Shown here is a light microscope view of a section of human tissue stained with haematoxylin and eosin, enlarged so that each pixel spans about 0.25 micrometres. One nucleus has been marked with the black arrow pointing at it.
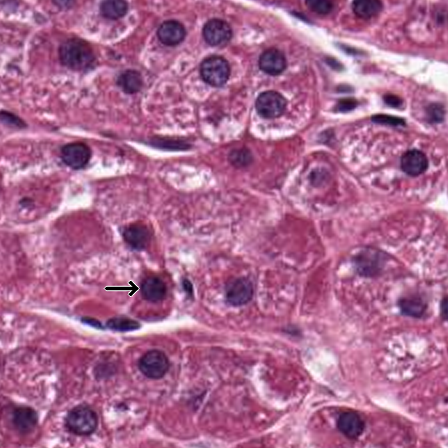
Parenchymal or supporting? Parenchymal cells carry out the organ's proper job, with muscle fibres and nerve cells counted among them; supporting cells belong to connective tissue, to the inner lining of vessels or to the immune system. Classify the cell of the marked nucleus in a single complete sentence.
The marked nucleus is identified as that of a parenchymal cell, namely an adrenal cortical cell.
